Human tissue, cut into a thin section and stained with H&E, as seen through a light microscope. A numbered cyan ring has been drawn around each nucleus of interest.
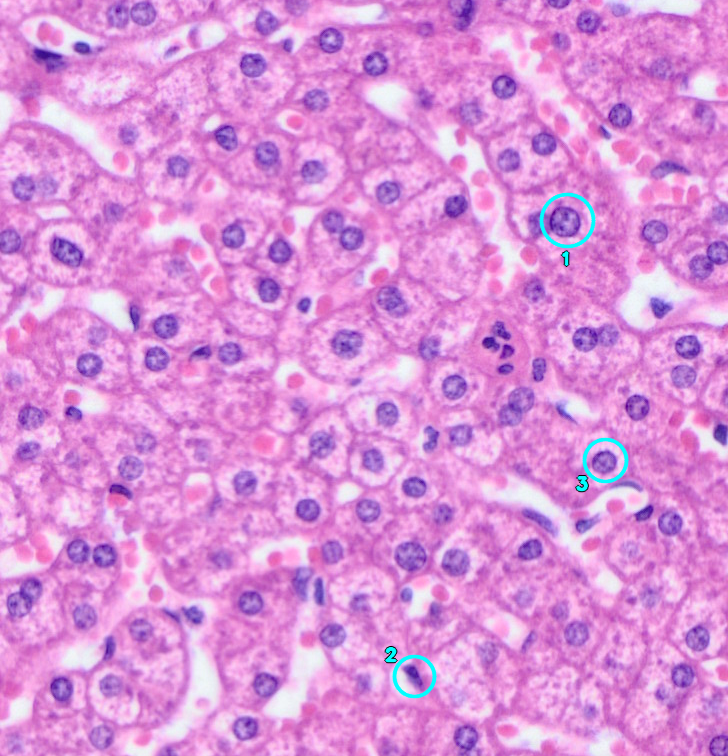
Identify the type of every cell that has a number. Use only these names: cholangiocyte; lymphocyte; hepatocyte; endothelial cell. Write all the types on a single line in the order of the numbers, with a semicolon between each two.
hepatocyte; endothelial cell; hepatocyte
